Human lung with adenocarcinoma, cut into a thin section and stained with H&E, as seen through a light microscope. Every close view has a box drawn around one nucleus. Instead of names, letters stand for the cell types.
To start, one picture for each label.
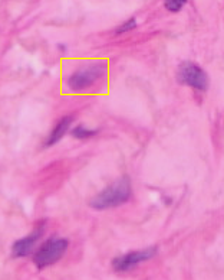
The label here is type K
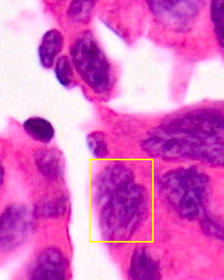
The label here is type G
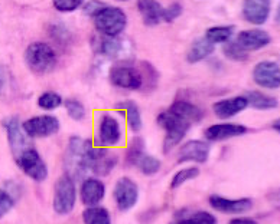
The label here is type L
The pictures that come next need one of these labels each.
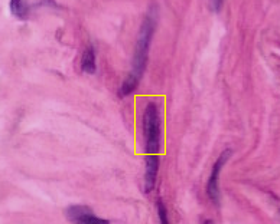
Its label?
type K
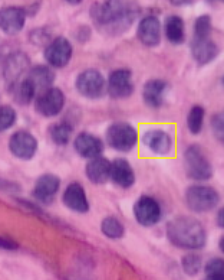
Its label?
type L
